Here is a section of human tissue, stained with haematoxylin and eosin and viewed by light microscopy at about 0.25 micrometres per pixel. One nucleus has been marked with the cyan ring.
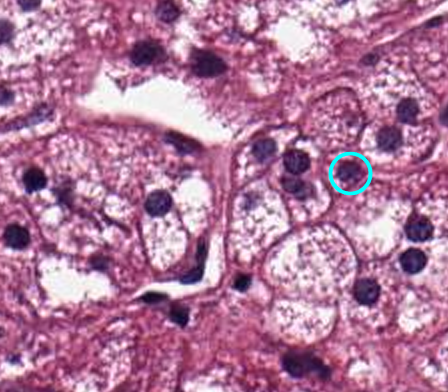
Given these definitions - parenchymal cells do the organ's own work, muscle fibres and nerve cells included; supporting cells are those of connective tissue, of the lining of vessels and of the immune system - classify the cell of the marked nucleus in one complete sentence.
Seen here, the marked nucleus belongs to a parenchymal cell, namely an adrenal cortical cell.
